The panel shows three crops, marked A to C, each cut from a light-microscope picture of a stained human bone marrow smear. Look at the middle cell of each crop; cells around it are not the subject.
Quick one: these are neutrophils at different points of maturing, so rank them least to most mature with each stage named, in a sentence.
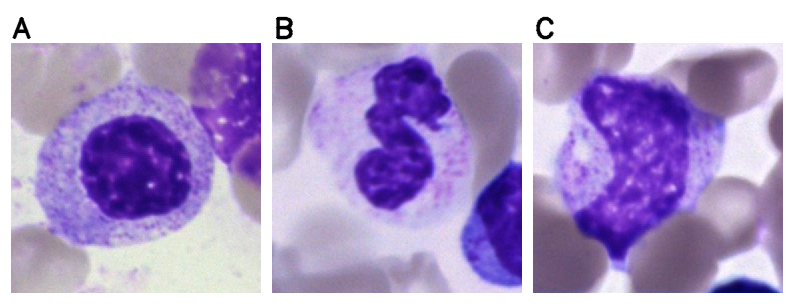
The series, from least to most mature, is crop A (a myelocyte), crop C (a metamyelocyte) and crop B (a segmented neutrophil).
